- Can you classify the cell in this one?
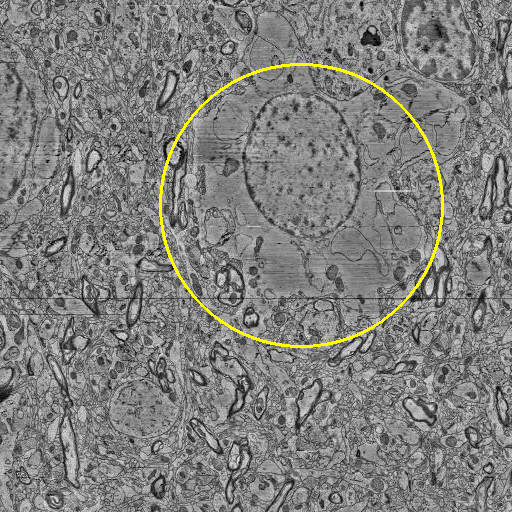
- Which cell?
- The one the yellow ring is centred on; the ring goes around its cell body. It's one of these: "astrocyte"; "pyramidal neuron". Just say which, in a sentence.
The cell body in the ring belongs to an astrocyte.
